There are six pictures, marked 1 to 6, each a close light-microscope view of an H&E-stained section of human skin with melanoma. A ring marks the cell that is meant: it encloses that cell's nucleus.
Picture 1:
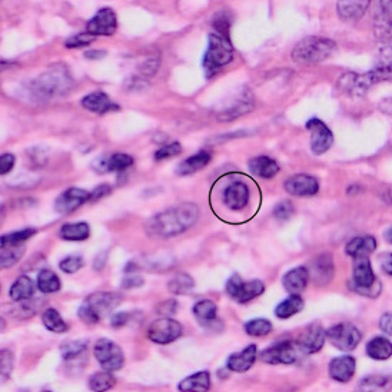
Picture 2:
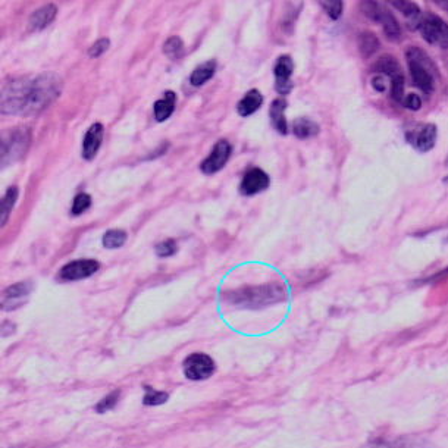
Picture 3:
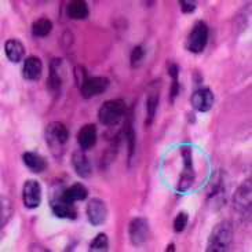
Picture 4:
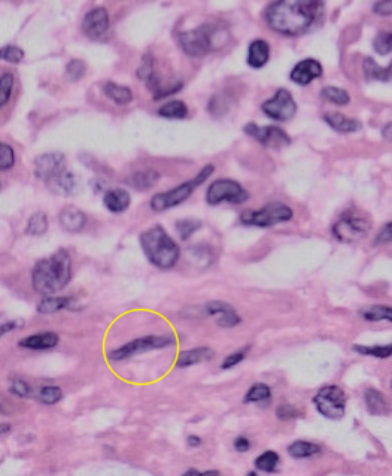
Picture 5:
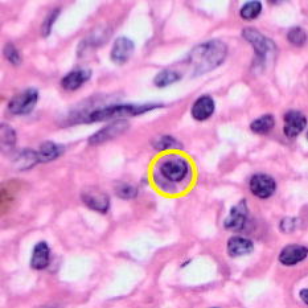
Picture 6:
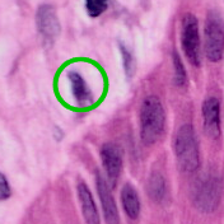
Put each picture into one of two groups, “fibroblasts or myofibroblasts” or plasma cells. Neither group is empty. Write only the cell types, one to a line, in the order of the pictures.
plasma cell
fibroblast or myofibroblast
fibroblast or myofibroblast
fibroblast or myofibroblast
plasma cell
fibroblast or myofibroblast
